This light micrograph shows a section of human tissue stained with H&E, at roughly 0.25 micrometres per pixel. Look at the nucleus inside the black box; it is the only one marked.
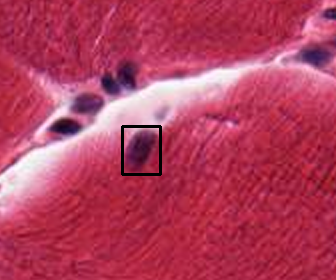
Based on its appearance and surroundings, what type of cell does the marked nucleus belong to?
skeletal muscle fibre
